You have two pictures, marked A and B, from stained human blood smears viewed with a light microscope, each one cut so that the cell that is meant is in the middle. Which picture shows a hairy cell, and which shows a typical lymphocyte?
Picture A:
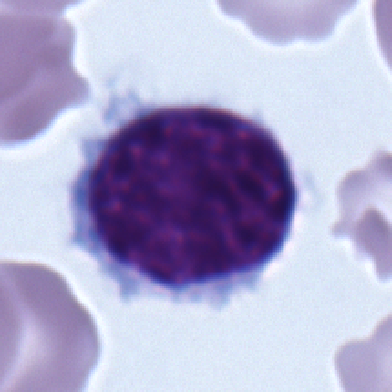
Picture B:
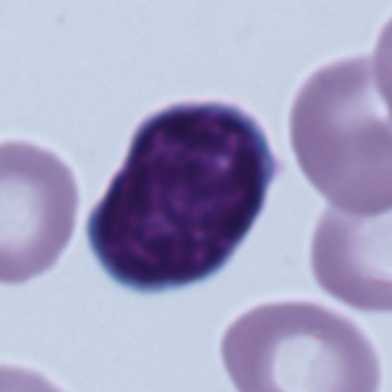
A: hairy cell
B: typical lymphocyte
